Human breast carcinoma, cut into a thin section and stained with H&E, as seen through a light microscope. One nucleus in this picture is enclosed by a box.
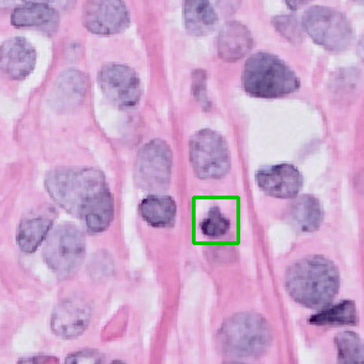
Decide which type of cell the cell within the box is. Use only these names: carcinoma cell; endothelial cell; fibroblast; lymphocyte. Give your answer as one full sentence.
The identity of the cell within the box: it is a lymphocyte.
